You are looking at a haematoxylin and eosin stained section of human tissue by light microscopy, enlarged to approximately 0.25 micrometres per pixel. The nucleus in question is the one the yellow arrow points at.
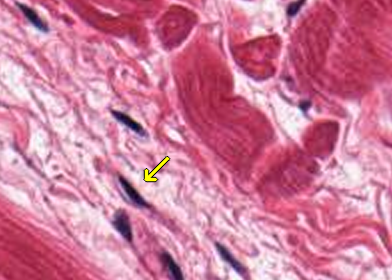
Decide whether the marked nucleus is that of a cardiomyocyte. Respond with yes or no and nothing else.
no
